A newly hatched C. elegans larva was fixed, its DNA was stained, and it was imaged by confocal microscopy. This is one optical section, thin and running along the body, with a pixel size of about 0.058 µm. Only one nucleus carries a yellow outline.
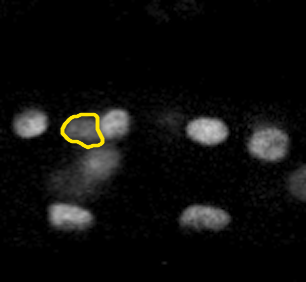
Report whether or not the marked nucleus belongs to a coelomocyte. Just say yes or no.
no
